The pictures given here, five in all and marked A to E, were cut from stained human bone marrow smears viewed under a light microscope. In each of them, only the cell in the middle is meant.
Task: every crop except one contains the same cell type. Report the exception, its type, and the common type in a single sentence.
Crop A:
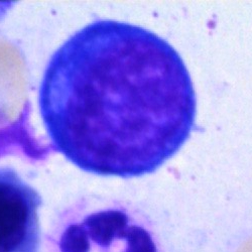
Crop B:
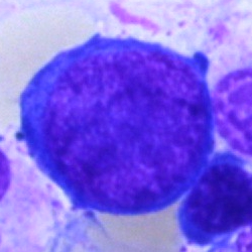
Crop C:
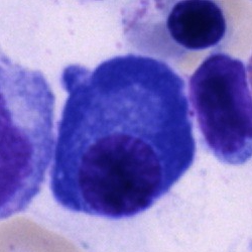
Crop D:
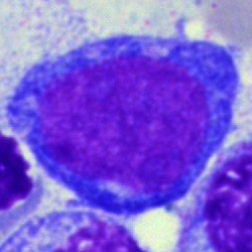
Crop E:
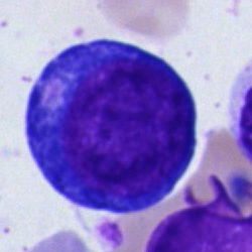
What sets crop C apart is that it shows a plasma cell, while the others show proerythroblasts.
